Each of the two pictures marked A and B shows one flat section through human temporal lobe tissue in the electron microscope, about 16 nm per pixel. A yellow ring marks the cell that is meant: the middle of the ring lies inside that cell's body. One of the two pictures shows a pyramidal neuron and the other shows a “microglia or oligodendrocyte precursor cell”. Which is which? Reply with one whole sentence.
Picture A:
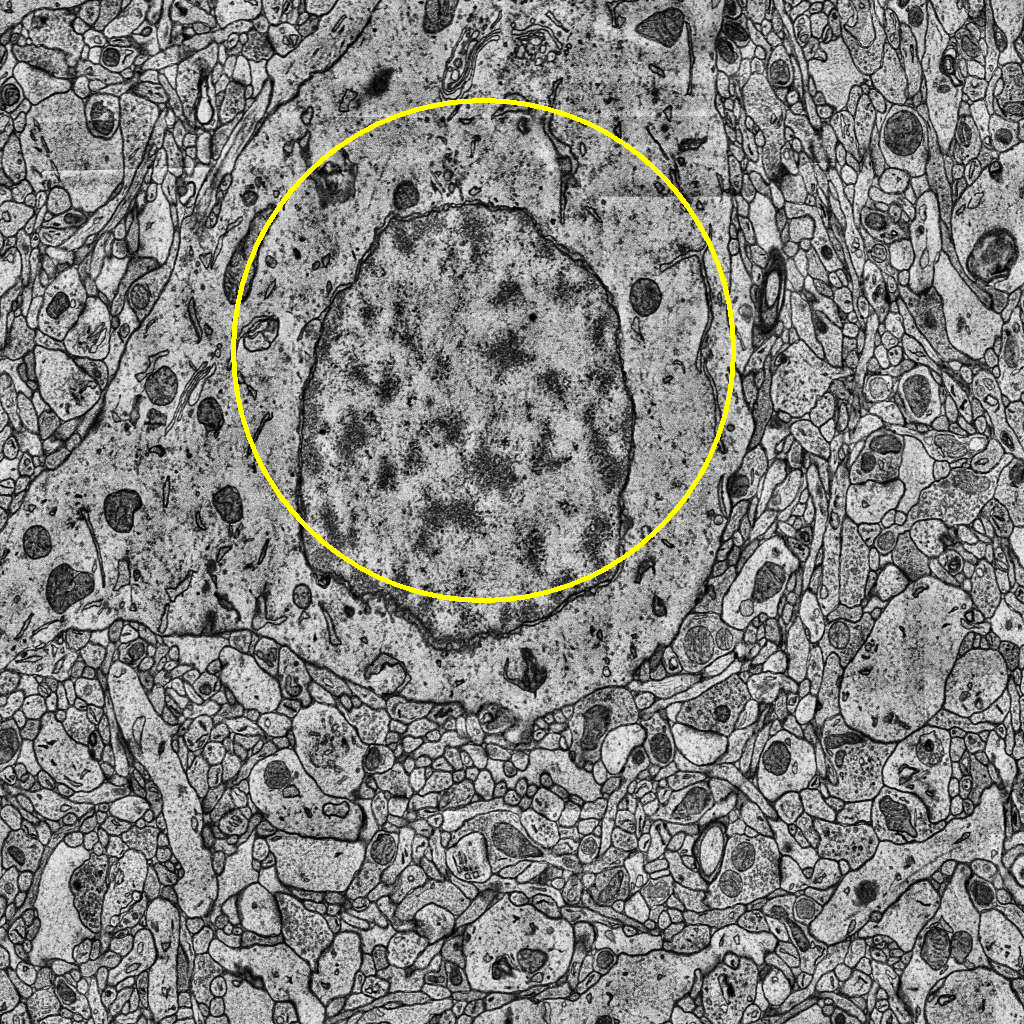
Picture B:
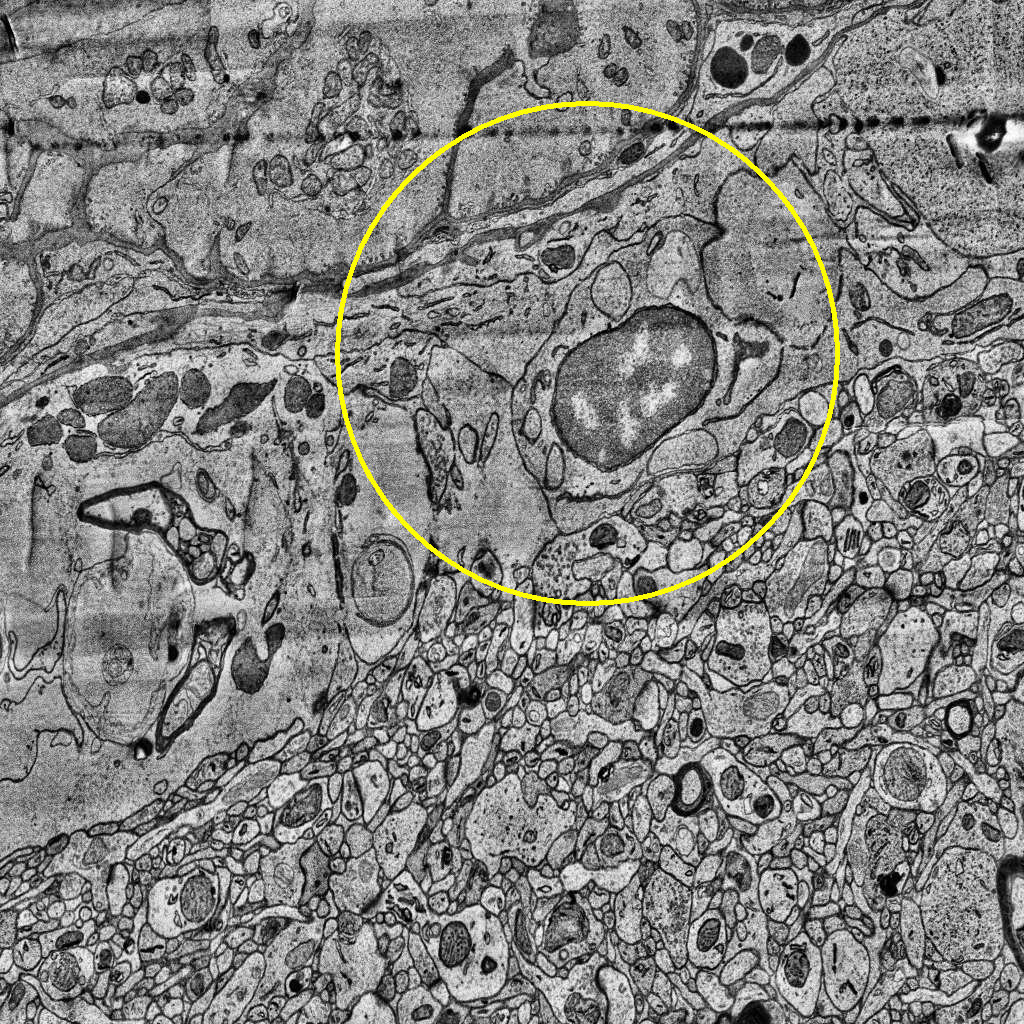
It is picture A that shows a pyramidal neuron, and picture B that shows a “microglia or oligodendrocyte precursor cell”.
